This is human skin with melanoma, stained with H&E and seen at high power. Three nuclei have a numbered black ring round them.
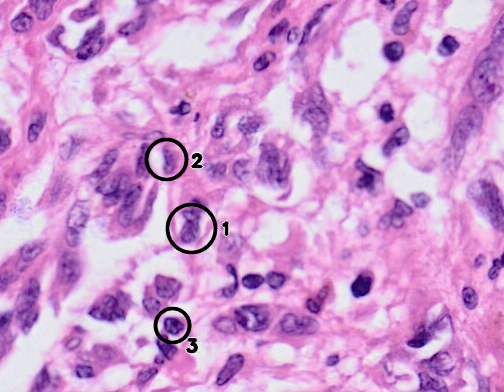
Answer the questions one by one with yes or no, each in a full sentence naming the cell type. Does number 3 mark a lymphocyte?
Yes, the cell sitting at number 3 is a lymphocyte.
